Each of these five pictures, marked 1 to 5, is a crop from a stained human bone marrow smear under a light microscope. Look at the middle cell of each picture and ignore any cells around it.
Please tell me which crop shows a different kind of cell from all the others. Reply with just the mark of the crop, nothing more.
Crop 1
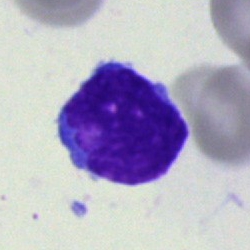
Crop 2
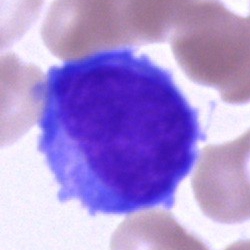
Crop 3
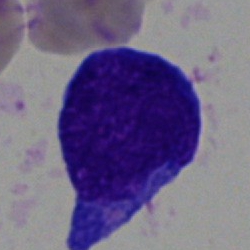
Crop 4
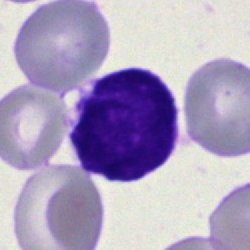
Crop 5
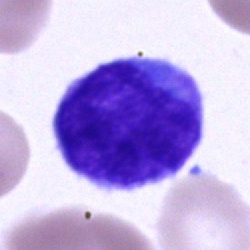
4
